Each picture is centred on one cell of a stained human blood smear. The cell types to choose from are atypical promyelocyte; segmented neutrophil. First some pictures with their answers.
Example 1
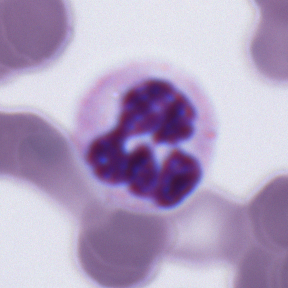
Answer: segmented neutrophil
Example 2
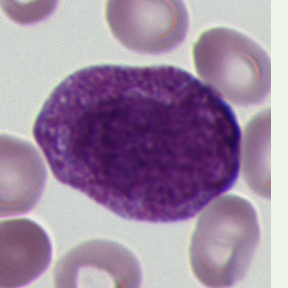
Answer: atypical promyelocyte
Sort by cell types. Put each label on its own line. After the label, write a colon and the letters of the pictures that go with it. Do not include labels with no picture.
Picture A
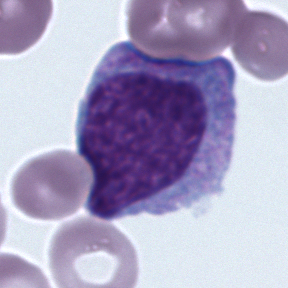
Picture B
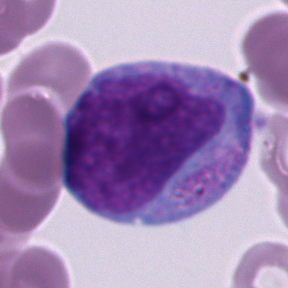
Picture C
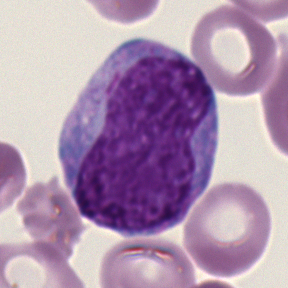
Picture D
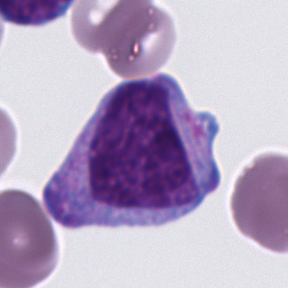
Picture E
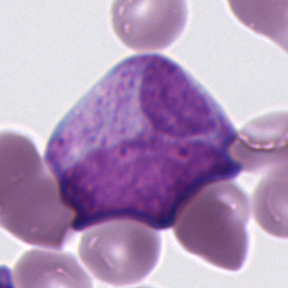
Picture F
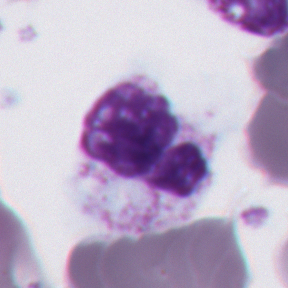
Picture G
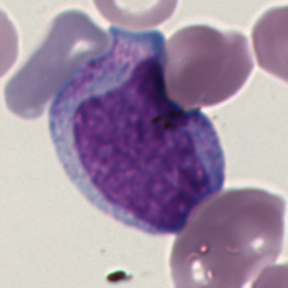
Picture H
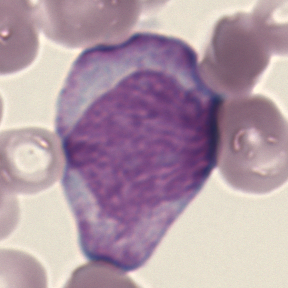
atypical promyelocyte: A, B, C, D, E, G, H
segmented neutrophil: F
